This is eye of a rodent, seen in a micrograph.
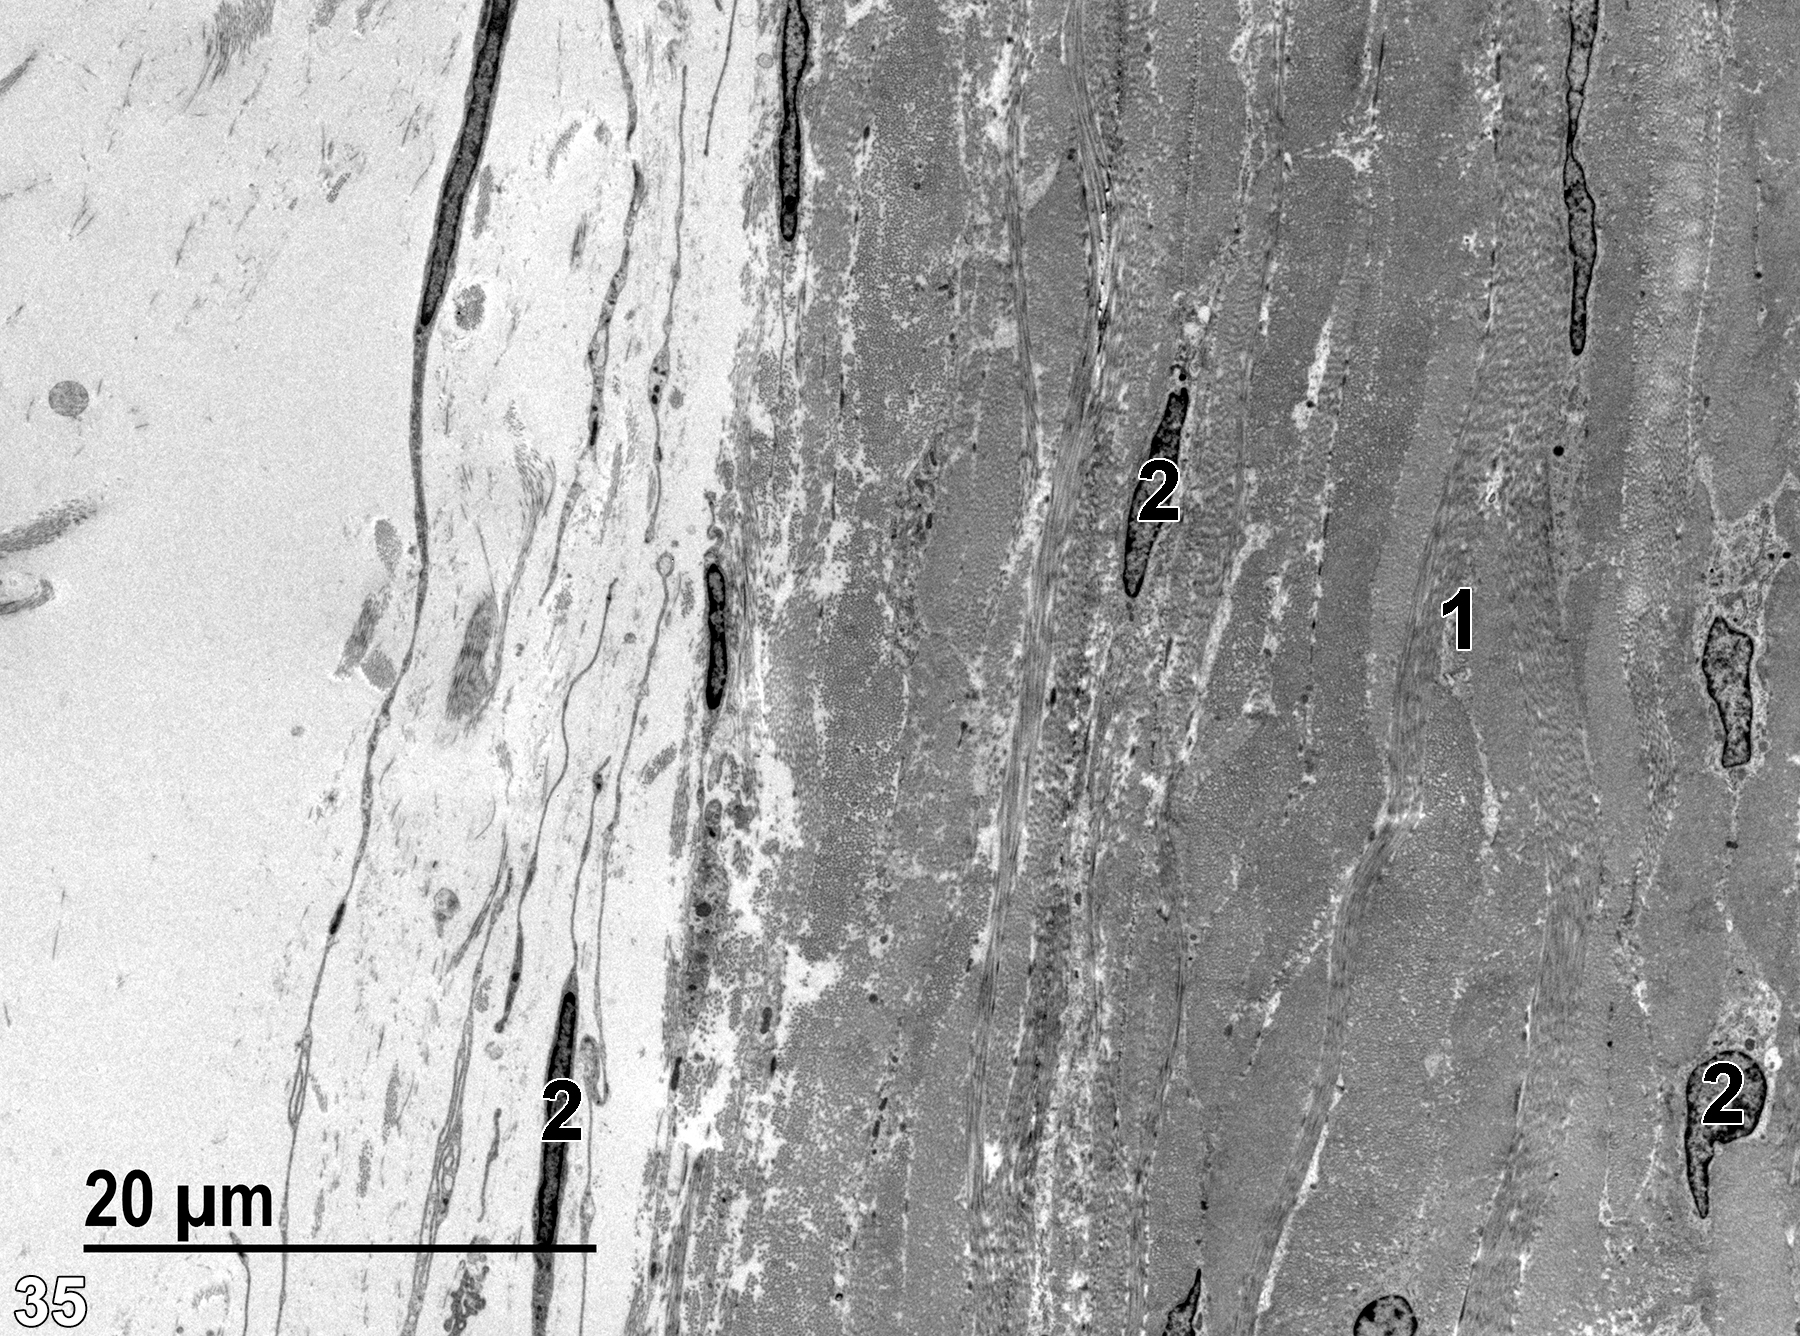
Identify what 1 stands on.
At 1: bundles of collagen fibrils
